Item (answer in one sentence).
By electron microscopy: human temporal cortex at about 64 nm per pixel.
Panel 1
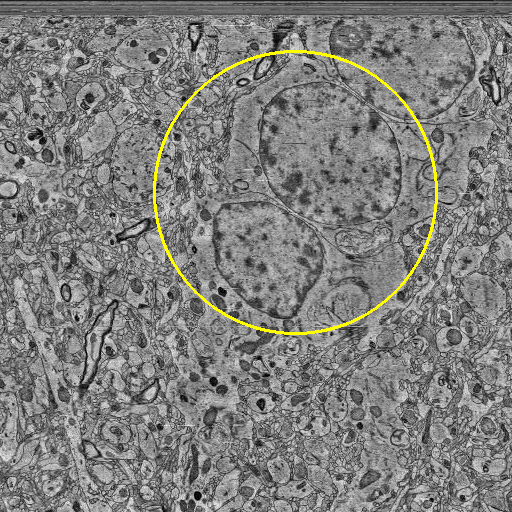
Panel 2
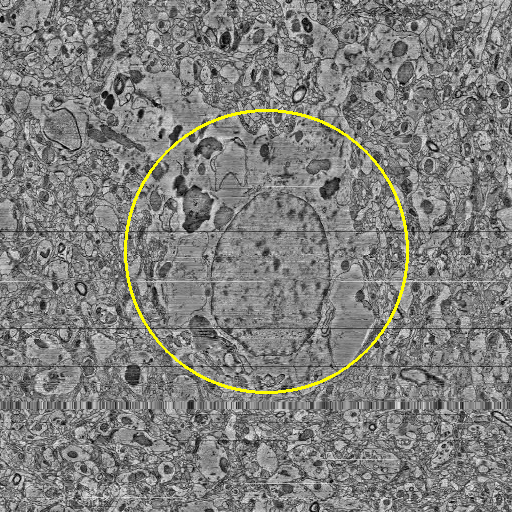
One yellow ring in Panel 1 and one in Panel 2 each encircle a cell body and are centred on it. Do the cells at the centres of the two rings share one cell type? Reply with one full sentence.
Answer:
Yes, Panel 1 and Panel 2 show cells of one type at the centres of their rings.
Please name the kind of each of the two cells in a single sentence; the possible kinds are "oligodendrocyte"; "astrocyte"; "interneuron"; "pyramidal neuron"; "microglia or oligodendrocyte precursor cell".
Both rings mark an astrocyte, one in each picture.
